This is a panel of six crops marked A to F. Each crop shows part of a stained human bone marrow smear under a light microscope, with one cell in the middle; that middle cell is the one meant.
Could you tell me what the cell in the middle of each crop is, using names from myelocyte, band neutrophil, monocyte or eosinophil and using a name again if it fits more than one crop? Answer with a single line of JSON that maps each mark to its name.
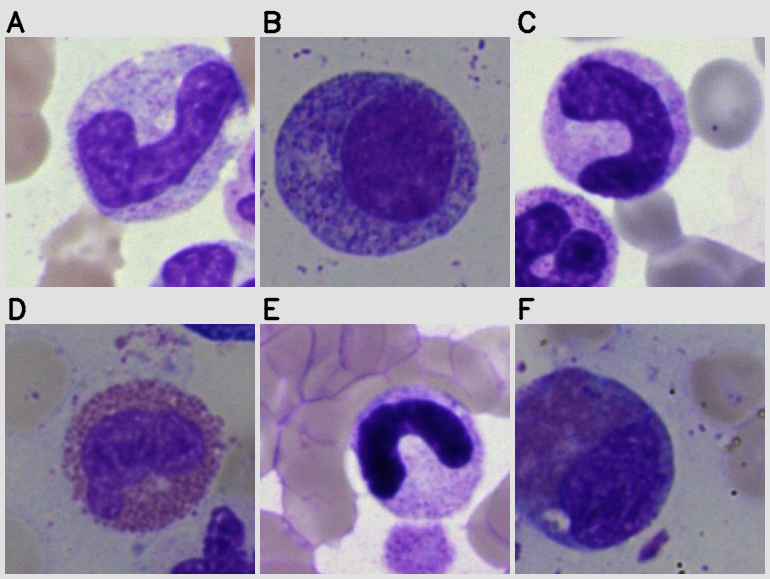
{"A": "band neutrophil", "B": "myelocyte", "C": "band neutrophil", "D": "eosinophil", "E": "band neutrophil", "F": "eosinophil"}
